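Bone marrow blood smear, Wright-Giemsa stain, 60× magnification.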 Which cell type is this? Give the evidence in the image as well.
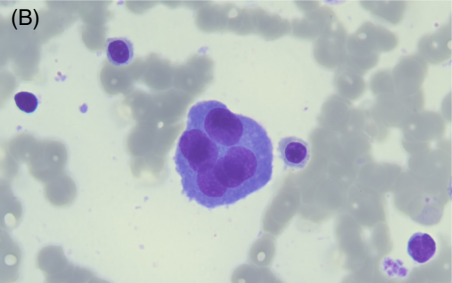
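Giant plasma cells. A large cell with several clustered round nuclei. Deep blue cytoplasm rim around the nuclei. Neighbouring small round cells are much smaller.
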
